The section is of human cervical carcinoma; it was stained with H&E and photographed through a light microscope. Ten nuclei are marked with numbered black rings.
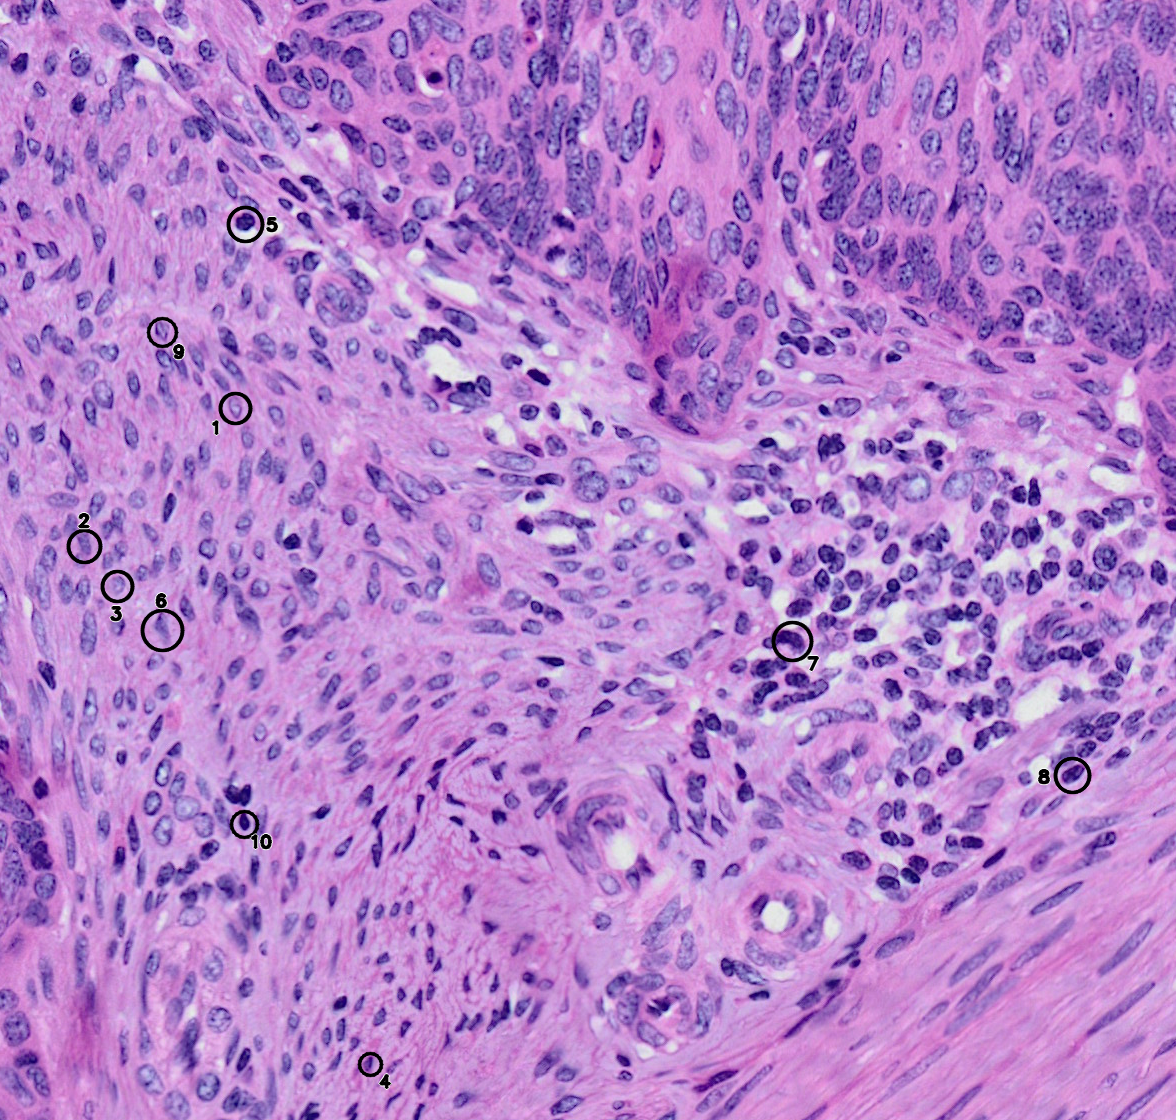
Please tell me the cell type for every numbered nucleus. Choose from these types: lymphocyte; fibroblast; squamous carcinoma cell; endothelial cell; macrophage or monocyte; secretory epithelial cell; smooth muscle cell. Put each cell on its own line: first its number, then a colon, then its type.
1: smooth muscle cell
2: smooth muscle cell
3: smooth muscle cell
4: smooth muscle cell
5: lymphocyte
6: smooth muscle cell
7: lymphocyte
8: lymphocyte
9: smooth muscle cell
10: lymphocyte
